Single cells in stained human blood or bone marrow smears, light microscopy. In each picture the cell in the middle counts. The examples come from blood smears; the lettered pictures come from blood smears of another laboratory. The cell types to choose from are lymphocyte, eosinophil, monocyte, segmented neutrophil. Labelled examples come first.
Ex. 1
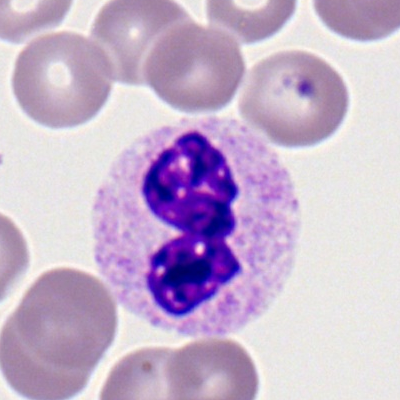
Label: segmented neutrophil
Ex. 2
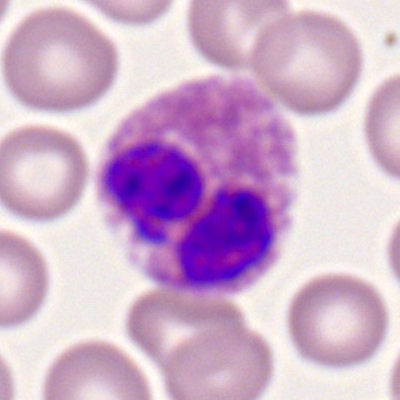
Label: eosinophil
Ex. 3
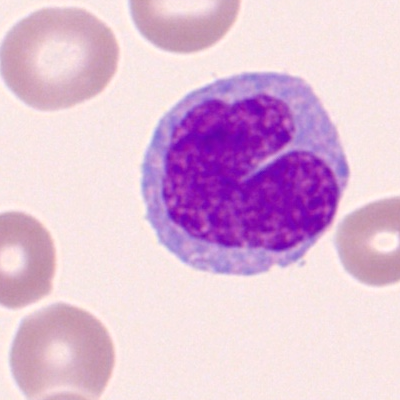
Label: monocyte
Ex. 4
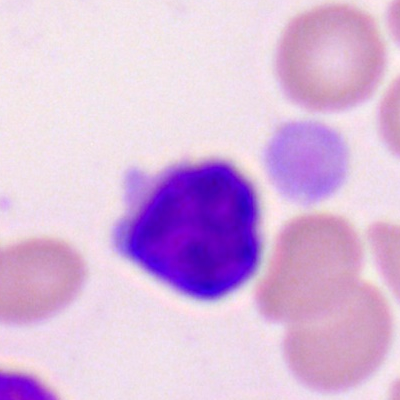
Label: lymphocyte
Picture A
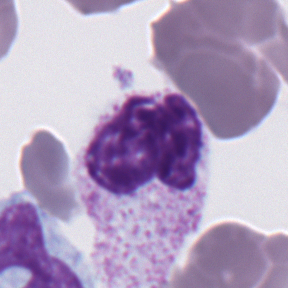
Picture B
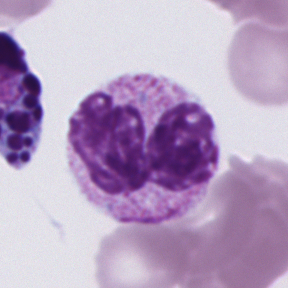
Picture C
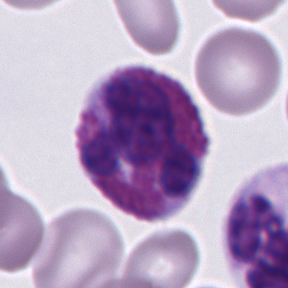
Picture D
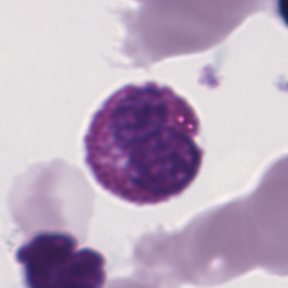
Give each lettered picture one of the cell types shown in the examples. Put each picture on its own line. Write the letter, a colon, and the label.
A: segmented neutrophil
B: segmented neutrophil
C: eosinophil
D: eosinophil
